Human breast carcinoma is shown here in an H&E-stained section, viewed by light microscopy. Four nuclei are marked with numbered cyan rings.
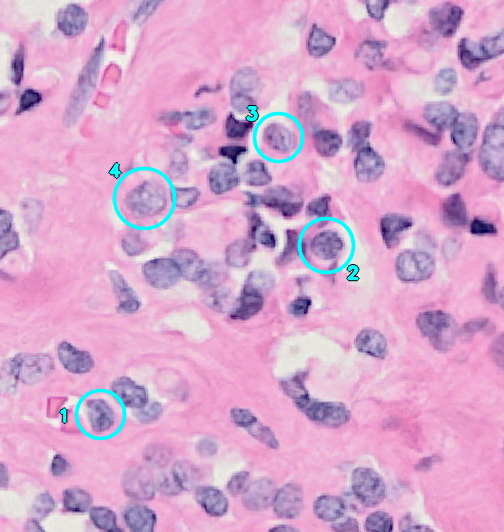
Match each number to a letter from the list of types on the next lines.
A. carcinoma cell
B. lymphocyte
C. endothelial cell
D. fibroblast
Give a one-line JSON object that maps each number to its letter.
{"1": "C", "2": "A", "3": "A", "4": "A"}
